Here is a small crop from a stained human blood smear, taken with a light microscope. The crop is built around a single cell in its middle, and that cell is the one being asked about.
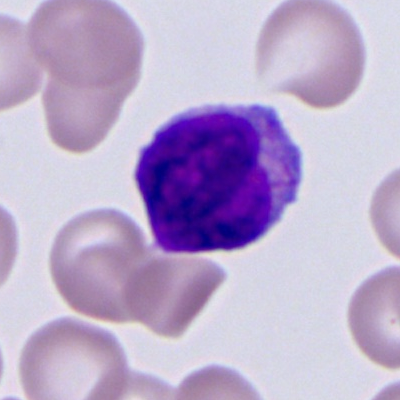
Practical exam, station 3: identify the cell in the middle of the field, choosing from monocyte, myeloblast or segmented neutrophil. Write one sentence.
The crop shows a myeloblast in its centre.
